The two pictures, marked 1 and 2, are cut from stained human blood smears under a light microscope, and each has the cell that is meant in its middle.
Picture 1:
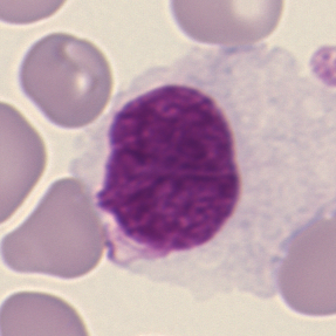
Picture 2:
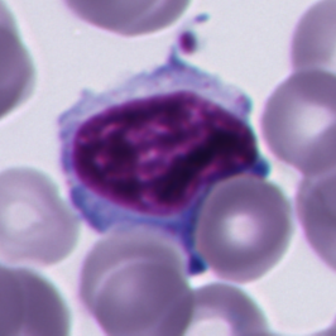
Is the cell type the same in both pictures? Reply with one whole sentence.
No, they differ: the cell is a hairy cell in picture 1 and a typical lymphocyte in picture 2.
